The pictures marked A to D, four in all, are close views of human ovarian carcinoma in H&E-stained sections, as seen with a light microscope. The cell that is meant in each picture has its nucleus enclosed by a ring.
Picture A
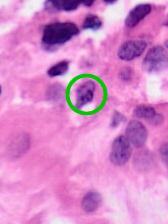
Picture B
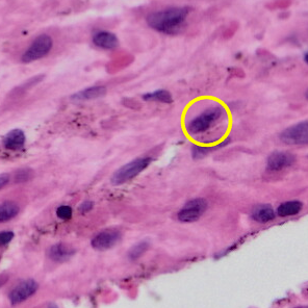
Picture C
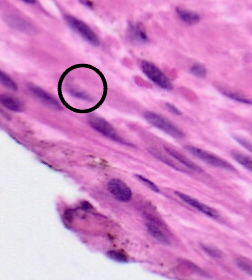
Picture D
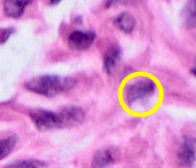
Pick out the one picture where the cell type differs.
A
